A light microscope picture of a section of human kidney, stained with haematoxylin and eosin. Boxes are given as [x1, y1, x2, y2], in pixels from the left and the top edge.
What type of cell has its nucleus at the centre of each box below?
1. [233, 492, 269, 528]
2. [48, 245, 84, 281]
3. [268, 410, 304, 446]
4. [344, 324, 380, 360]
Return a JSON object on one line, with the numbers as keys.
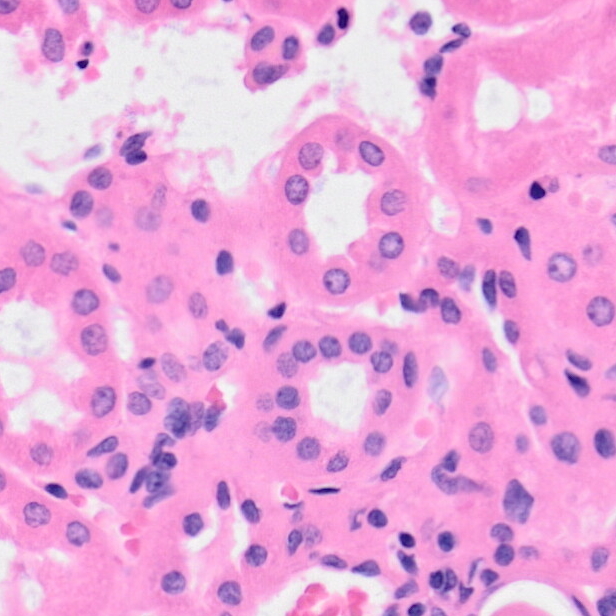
{"1": "loop of Henle or distal tubule cell", "2": "proximal tubule cell", "3": "collecting duct cell", "4": "collecting duct cell"}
